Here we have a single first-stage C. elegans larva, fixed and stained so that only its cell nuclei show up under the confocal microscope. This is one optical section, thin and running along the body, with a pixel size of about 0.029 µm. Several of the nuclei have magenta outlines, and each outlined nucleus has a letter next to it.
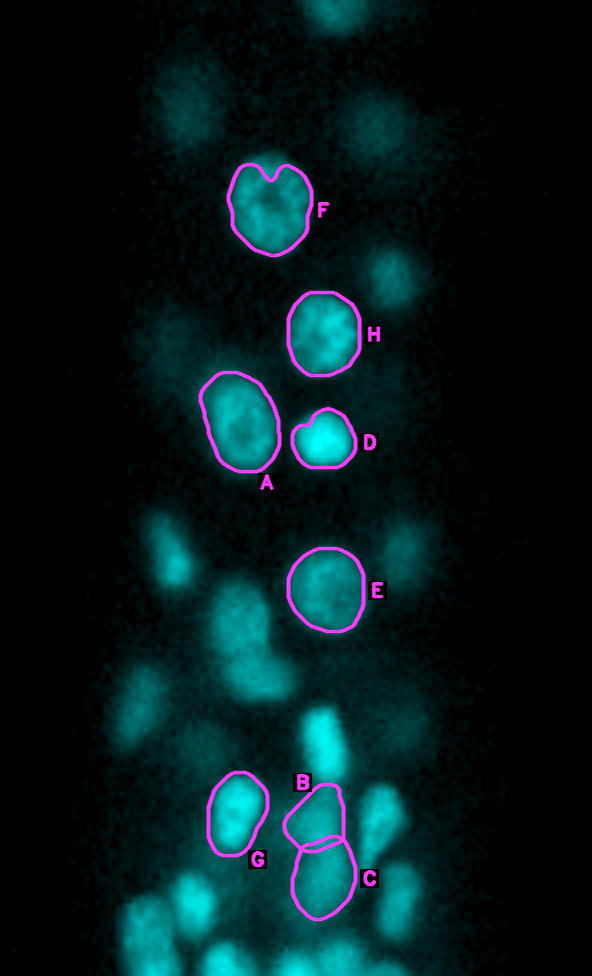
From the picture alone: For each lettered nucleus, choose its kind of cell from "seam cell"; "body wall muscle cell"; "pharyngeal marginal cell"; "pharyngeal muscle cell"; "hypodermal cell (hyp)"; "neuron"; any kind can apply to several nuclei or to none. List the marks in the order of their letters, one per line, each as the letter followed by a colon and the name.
A: hypodermal cell (hyp)
B: pharyngeal muscle cell
C: neuron
D: neuron
E: hypodermal cell (hyp)
F: hypodermal cell (hyp)
G: pharyngeal marginal cell
H: seam cell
